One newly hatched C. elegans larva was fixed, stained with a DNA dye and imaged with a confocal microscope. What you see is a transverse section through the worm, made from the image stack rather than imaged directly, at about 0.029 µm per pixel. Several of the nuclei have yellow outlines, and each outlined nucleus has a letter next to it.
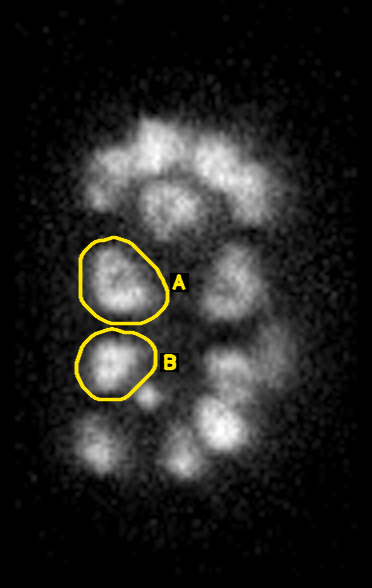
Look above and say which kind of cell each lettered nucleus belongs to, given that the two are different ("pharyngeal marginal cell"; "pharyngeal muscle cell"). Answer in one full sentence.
One is from a pharyngeal muscle cell, namely A, and the other, B, is from a pharyngeal marginal cell.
